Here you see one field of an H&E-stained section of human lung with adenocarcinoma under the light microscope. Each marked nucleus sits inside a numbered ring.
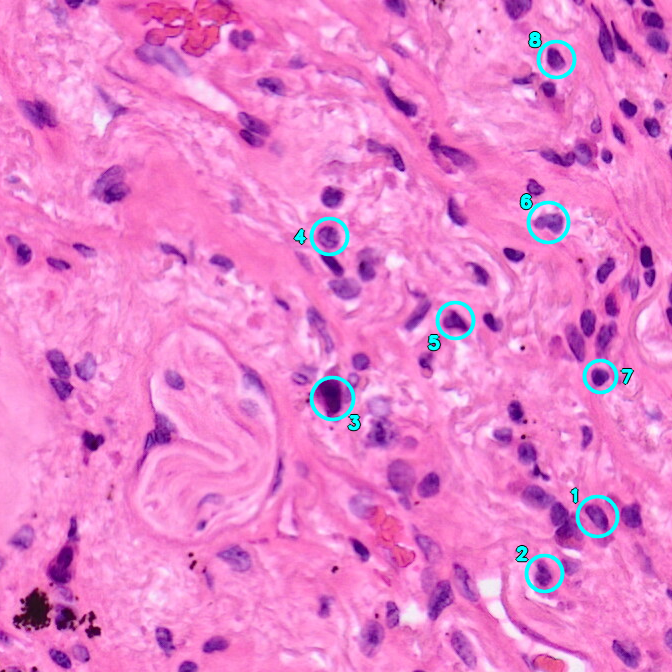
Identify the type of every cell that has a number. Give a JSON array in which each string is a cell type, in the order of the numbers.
["plasma cell", "plasma cell", "plasma cell", "mast cell", "plasma cell", "lymphocyte", "lymphocyte", "lymphocyte"]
